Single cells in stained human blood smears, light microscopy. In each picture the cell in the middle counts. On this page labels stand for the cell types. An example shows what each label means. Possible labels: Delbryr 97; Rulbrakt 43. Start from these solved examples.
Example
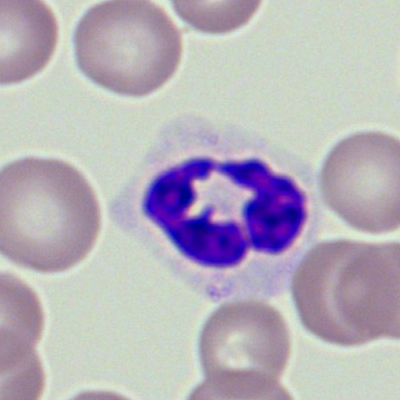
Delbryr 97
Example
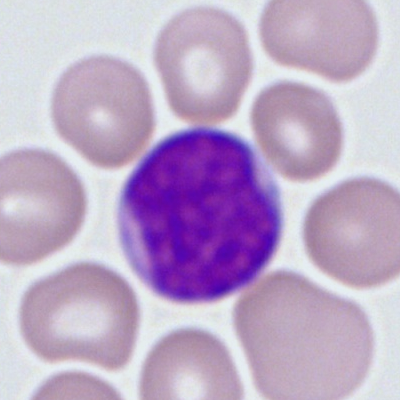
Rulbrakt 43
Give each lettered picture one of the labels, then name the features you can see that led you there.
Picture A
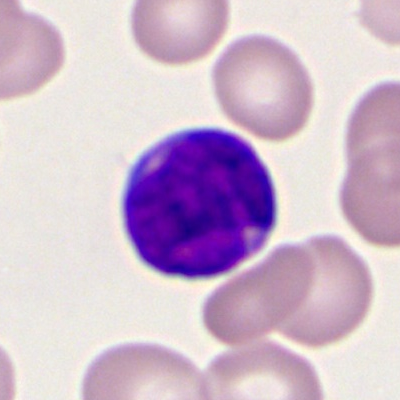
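Rulbrakt 43: Cytoplasm is very scant, at most a thin rim at the edge of the nucleus.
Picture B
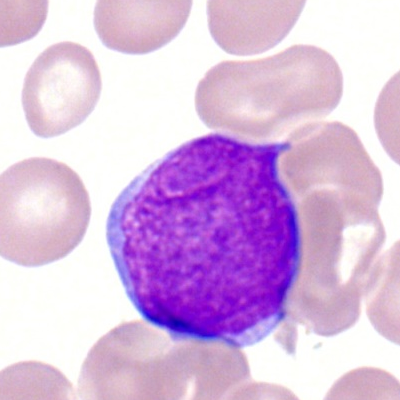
Rulbrakt 43: The nucleus fills most of the cell.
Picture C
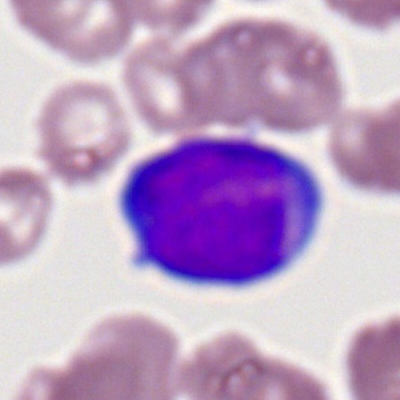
Rulbrakt 43: The cytoplasm is a scant thin rim of deep blue.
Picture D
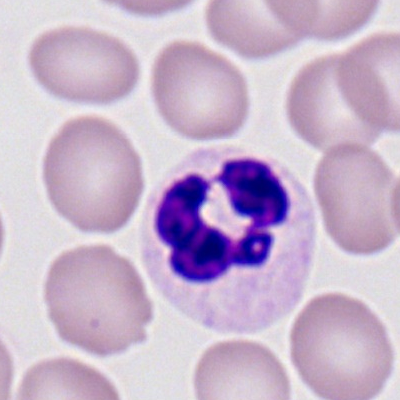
Delbryr 97: The cytoplasm is plentiful and pale pinkish-lilac.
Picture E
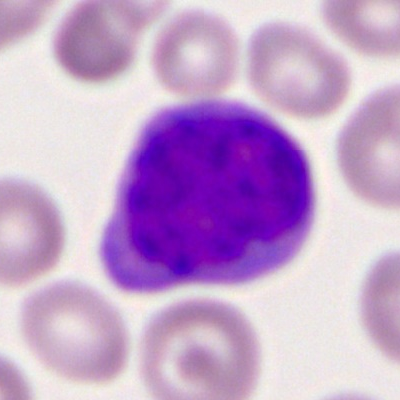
Rulbrakt 43: The cytoplasm is scant and forms only a thin rim around most of the nucleus.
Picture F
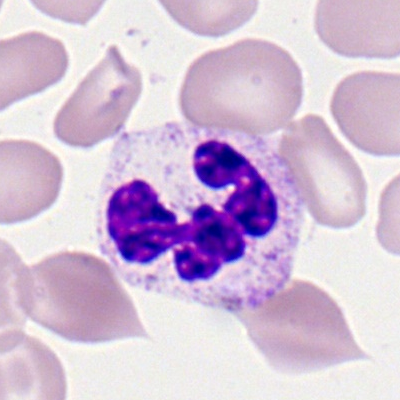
Delbryr 97: The cytoplasm is plentiful and pale pinkish-lilac.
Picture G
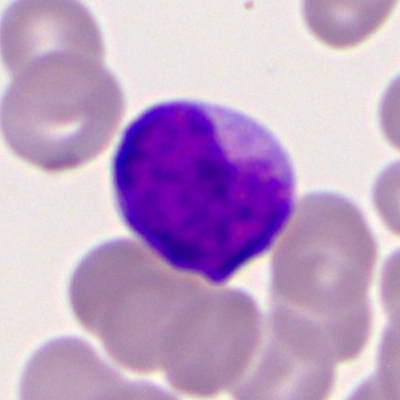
Rulbrakt 43: The nucleus fills most of the cell.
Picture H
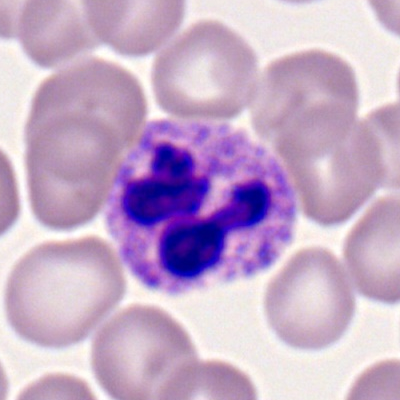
Delbryr 97: The nucleus is divided into several separate lobes.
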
